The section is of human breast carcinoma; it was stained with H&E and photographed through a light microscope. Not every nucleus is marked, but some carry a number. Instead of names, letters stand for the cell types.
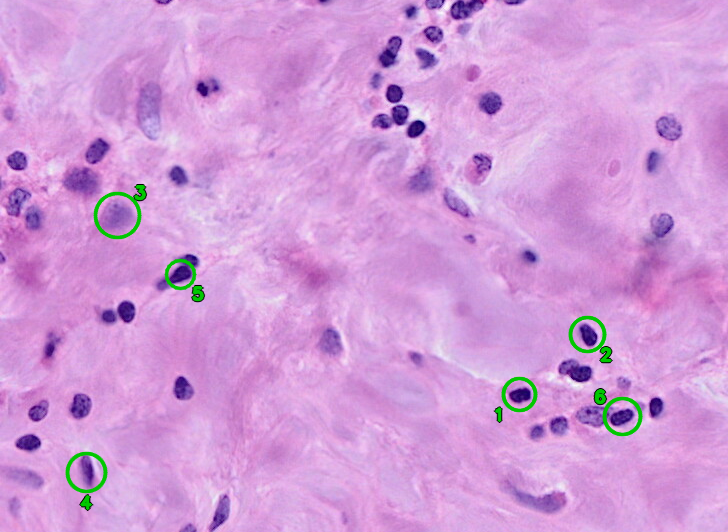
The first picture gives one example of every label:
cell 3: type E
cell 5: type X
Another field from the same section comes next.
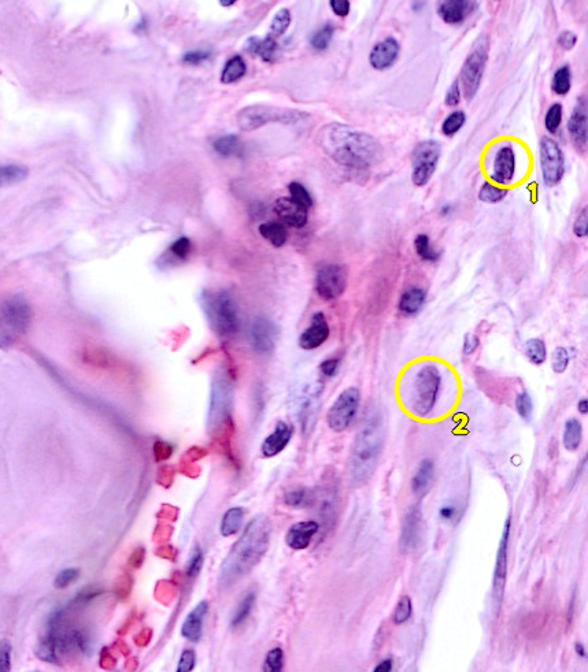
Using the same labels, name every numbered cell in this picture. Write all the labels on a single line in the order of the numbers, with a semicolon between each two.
type X; type E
